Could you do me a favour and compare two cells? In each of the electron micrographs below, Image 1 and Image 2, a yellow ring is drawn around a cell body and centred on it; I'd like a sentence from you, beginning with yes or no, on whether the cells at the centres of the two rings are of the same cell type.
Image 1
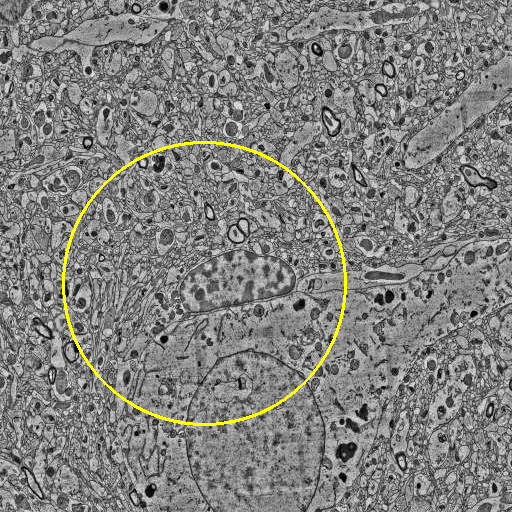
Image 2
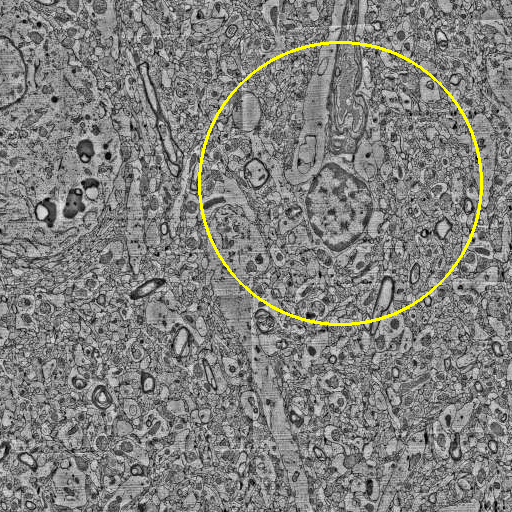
Yes, the two cells are of the same cell type.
